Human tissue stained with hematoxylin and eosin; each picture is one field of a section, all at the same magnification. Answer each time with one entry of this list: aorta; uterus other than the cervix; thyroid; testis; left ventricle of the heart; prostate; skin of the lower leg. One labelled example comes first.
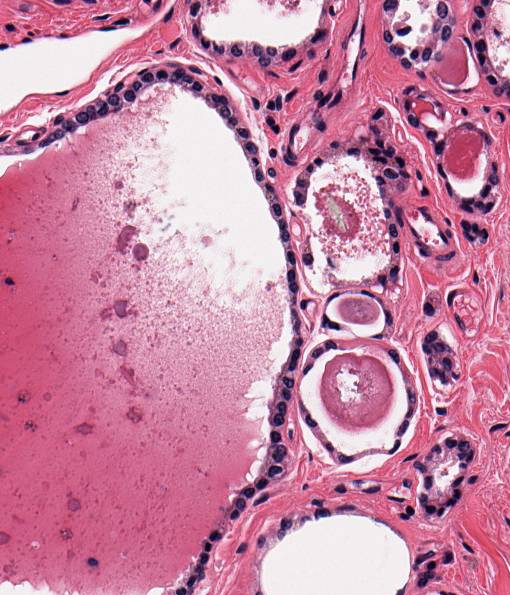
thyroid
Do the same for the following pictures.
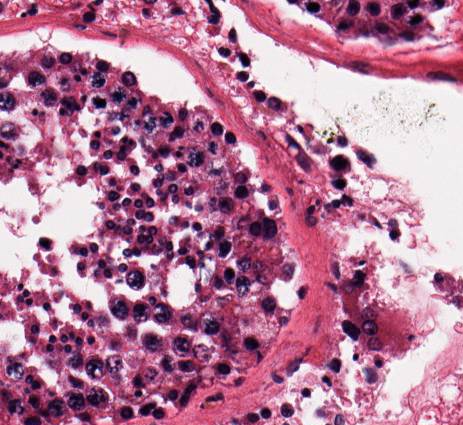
testis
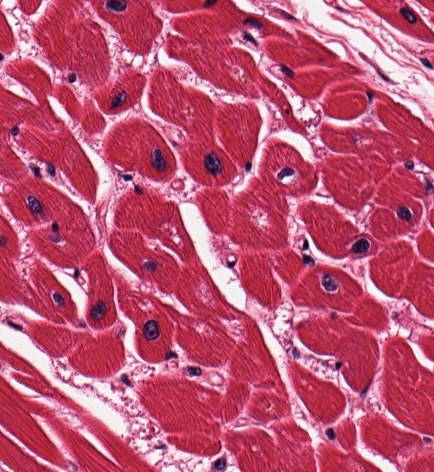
left ventricle of the heart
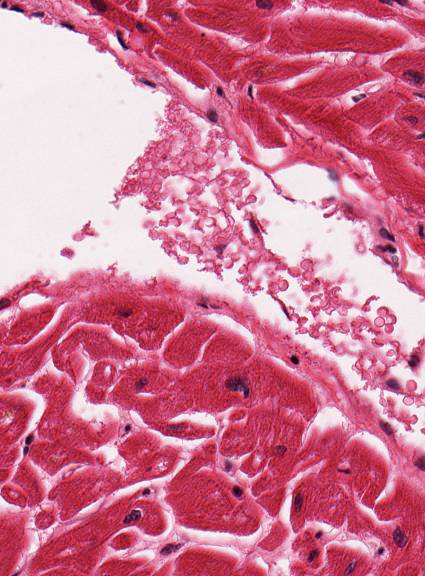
left ventricle of the heart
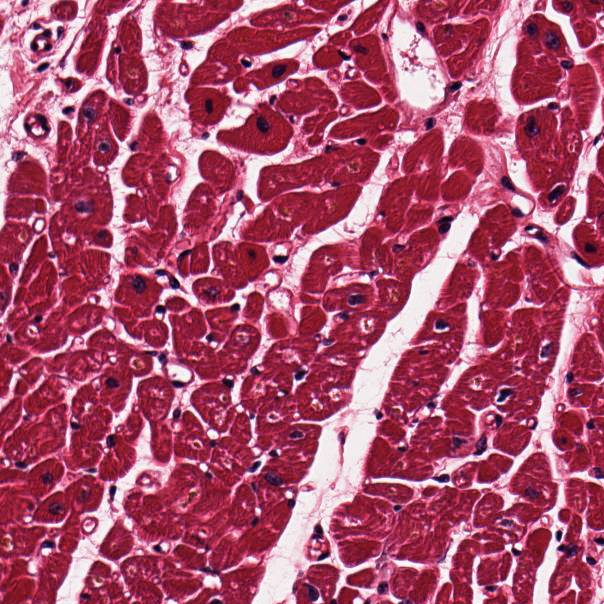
left ventricle of the heart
